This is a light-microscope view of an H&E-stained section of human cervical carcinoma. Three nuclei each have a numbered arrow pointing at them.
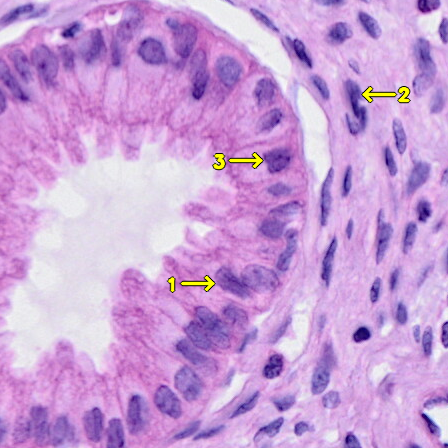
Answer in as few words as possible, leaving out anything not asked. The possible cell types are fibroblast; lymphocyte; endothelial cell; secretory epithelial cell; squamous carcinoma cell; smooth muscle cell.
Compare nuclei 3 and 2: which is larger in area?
3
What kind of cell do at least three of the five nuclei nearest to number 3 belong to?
secretory epithelial cell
